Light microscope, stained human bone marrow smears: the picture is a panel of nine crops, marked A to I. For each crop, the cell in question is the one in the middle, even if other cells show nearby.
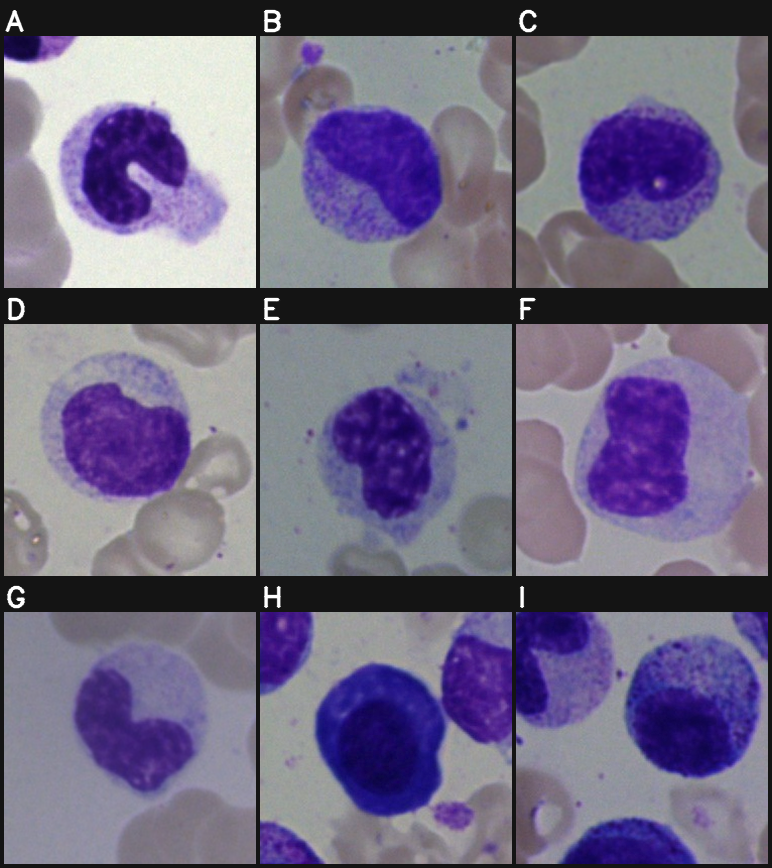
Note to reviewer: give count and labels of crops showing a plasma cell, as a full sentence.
Looking across the crops, there is only one with a plasma cell, and it is crop H.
